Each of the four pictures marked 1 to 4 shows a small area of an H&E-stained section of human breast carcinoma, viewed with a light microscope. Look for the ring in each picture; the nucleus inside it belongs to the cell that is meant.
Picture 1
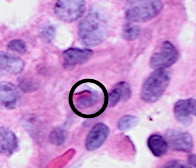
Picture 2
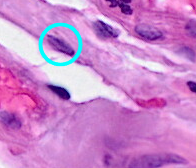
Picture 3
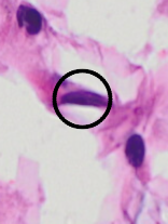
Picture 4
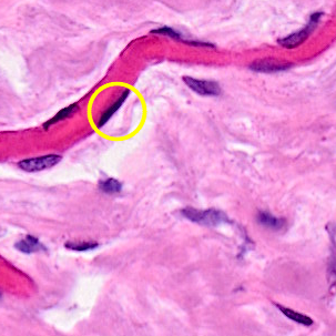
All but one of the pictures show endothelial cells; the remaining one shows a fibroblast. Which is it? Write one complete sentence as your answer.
Picture 2 is the one that shows the fibroblast.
